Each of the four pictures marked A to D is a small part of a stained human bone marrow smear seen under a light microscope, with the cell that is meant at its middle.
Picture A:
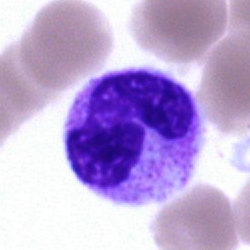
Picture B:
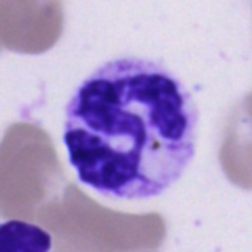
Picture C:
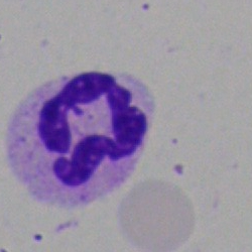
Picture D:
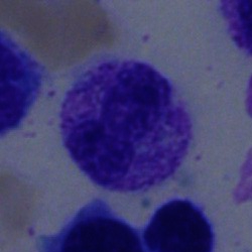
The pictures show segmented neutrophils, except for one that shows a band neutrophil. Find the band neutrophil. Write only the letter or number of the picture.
D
